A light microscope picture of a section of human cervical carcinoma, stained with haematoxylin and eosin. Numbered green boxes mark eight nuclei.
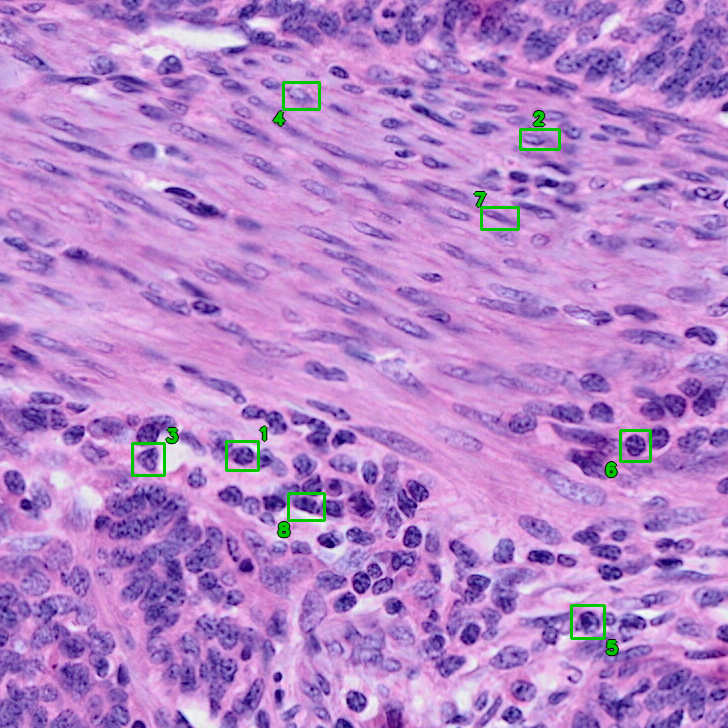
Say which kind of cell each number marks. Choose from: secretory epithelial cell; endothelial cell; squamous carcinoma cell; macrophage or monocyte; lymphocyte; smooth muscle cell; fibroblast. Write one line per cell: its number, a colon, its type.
1: lymphocyte
2: smooth muscle cell
3: lymphocyte
4: smooth muscle cell
5: lymphocyte
6: lymphocyte
7: smooth muscle cell
8: lymphocyte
